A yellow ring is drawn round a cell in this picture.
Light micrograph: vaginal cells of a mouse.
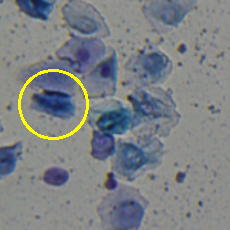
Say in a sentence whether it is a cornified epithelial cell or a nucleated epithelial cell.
The cell in the ring is a cornified epithelial cell.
